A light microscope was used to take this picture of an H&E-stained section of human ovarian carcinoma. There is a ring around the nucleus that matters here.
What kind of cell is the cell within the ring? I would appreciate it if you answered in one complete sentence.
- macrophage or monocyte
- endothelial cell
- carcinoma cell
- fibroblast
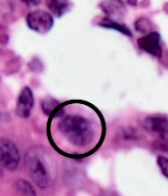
The cell type represented by the cell within the ring is that of a carcinoma cell.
